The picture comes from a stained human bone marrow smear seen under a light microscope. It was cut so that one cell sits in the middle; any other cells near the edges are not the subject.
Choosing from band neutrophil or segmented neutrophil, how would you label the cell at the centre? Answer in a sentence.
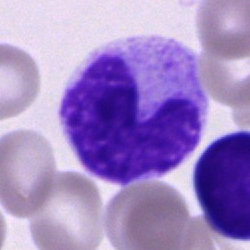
In this crop, the cell at the very middle is a band neutrophil.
